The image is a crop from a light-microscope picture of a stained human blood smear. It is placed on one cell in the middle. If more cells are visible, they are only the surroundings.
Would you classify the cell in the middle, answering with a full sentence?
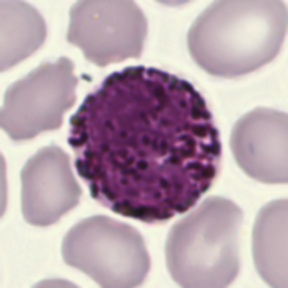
The crop shows a basophil in its centre.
